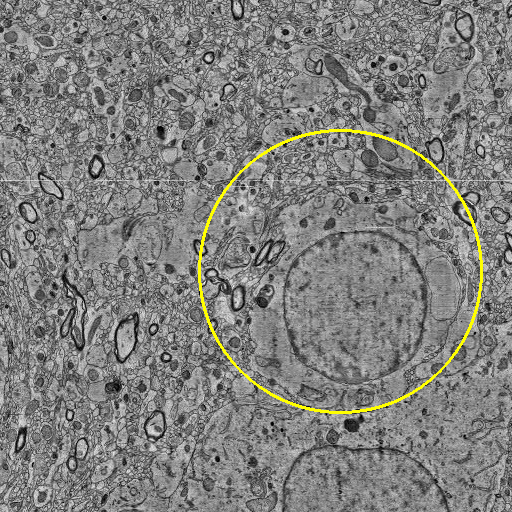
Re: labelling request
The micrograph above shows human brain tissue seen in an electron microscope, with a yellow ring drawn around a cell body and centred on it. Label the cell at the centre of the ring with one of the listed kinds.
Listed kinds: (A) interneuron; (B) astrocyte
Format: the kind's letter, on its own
B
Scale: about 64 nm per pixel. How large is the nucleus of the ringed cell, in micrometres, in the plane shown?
In this plane the ringed cell's nucleus is roughly 10 micrometres across.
